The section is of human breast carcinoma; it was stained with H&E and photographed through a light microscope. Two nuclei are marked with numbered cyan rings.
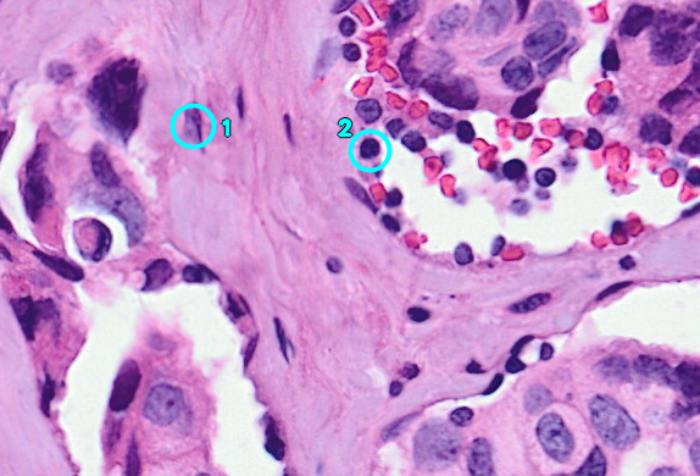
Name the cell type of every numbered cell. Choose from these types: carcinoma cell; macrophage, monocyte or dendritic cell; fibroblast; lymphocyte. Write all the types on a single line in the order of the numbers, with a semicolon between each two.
fibroblast; lymphocyte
